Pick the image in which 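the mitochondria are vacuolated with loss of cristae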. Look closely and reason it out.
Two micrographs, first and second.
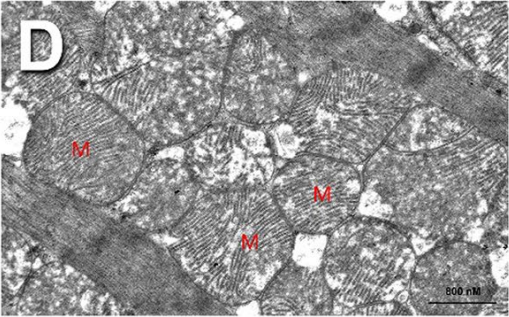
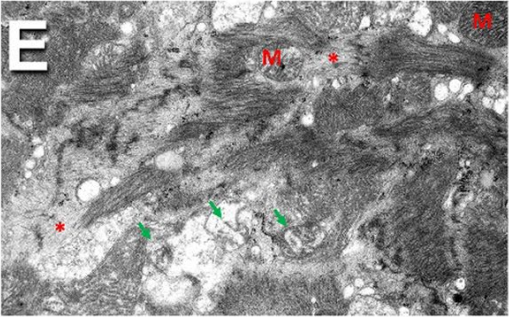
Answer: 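Second image: pale swollen profiles with ragged interiors and few cristae. First image: oval mitochondria packed with dense parallel cristae. The answer: the second image.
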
